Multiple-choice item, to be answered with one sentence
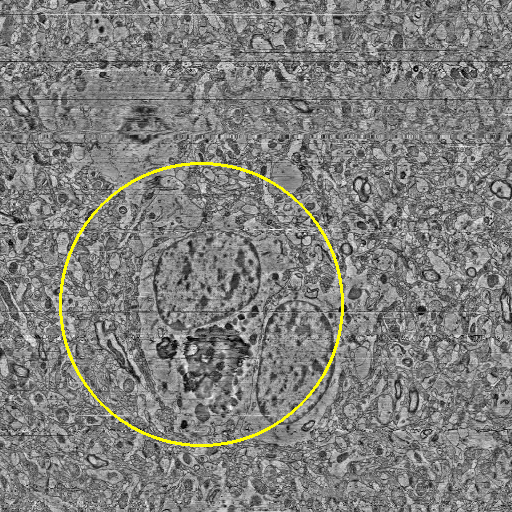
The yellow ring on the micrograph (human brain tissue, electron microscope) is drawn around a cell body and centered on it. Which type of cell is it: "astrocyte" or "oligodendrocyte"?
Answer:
The ring is centered on an astrocyte.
